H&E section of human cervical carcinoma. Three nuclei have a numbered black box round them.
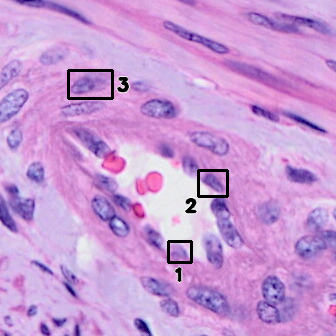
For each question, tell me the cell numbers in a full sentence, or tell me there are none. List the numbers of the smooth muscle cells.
Cell 3 is the one numbered cell that is a smooth muscle cell.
